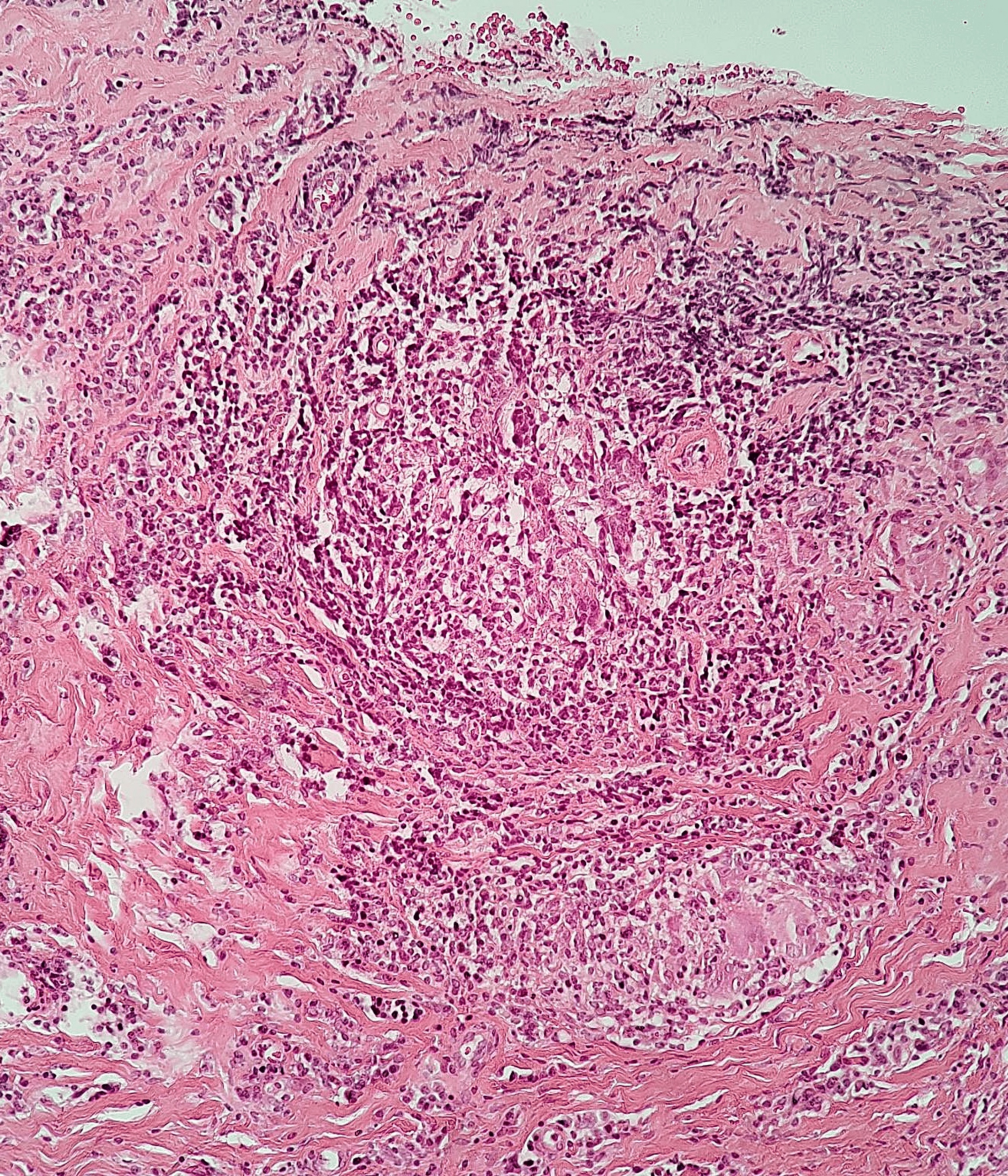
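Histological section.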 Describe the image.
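Fibrous tissue holds a well-formed granuloma. It is a rounded nodule of epithelioid cells with pale pink cytoplasm and oval, pale nuclei. A dense cuff of small lymphocytes with round, dark purple nuclei rings the nodule. Below it lies a smaller nodule with a pale pink centre and no necrotic debris, and the surrounding stroma shows bundles of pink collagen with scattered lymphocytes and small vessels.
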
